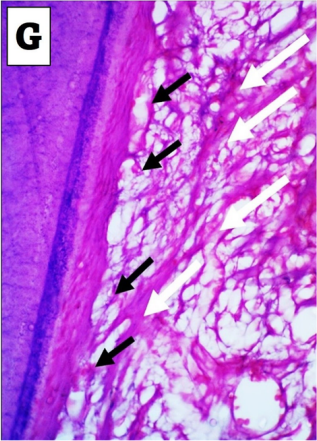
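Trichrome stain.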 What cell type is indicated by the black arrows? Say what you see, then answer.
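The black arrows point to small elongated cells along a dense pink band. The band borders a purple-stained hard tissue at the left edge.
Conclusion: cementoblasts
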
